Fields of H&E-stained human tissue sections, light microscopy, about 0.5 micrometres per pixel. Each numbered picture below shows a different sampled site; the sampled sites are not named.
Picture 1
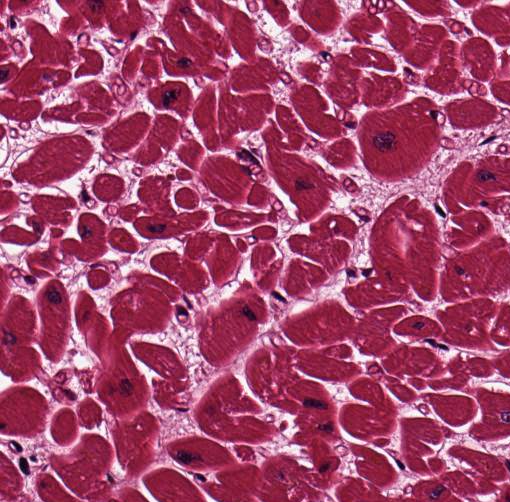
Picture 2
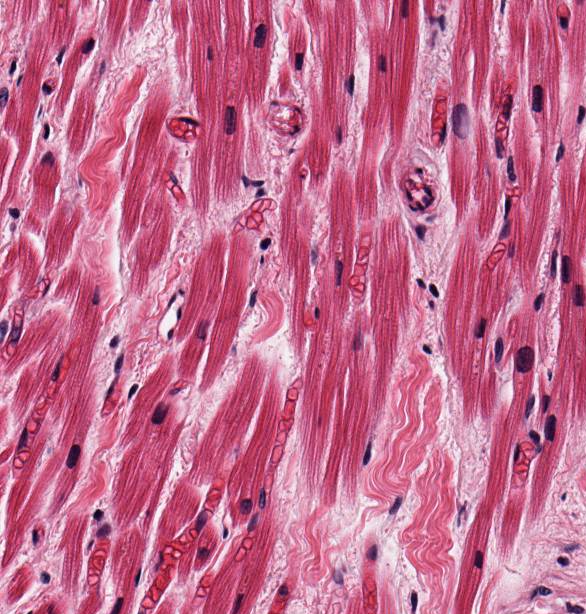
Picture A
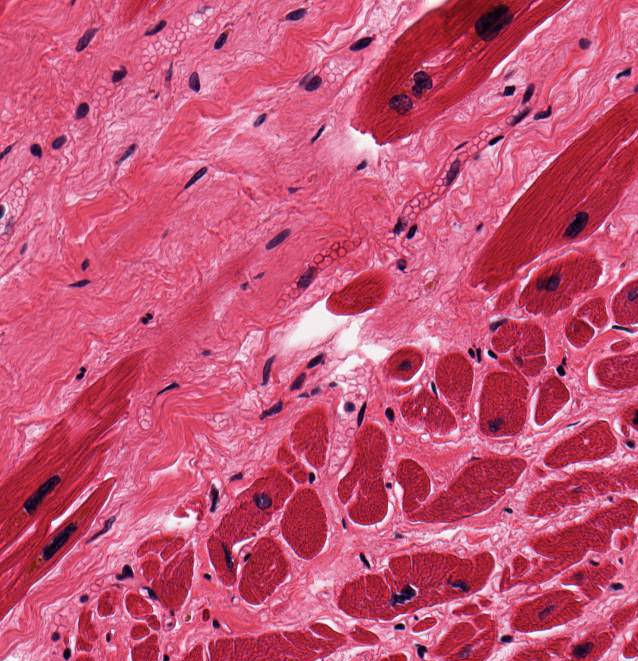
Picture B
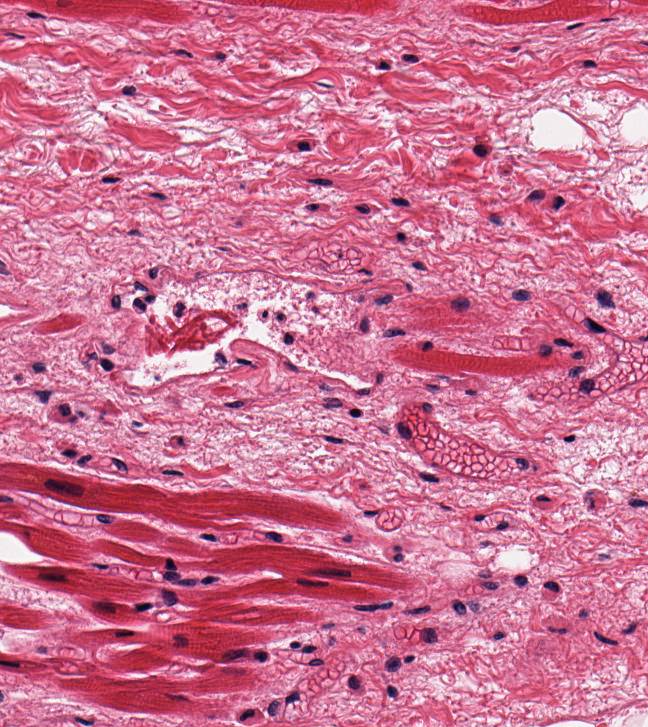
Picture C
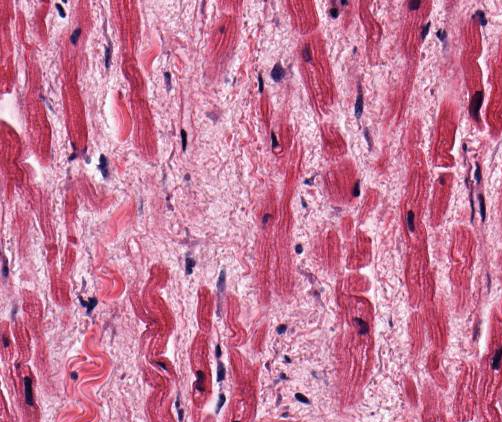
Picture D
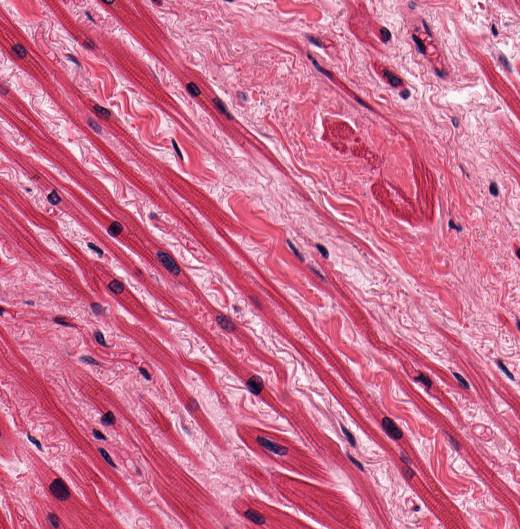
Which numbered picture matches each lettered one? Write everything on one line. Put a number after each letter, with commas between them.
A 1, B 2, C 2, D 2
